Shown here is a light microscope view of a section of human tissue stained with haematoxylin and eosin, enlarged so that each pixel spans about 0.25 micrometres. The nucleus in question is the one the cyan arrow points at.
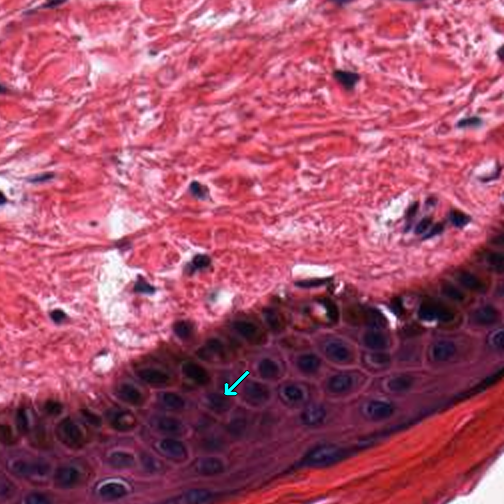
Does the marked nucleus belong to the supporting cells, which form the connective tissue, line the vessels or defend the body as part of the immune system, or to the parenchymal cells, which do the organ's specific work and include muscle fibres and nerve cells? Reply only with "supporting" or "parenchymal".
parenchymal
